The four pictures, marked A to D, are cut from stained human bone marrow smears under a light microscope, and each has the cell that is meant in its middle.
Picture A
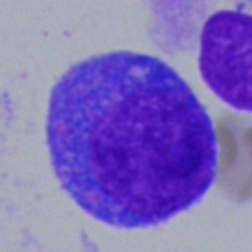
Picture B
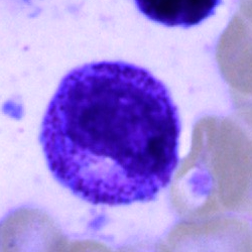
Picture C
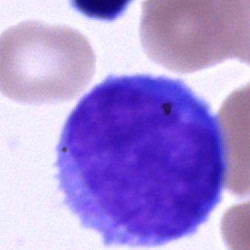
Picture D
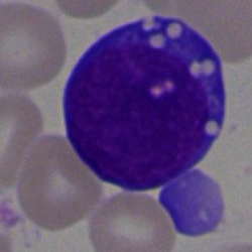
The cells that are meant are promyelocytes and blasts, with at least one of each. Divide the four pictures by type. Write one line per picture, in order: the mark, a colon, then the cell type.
A: promyelocyte
B: promyelocyte
C: blast
D: blast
